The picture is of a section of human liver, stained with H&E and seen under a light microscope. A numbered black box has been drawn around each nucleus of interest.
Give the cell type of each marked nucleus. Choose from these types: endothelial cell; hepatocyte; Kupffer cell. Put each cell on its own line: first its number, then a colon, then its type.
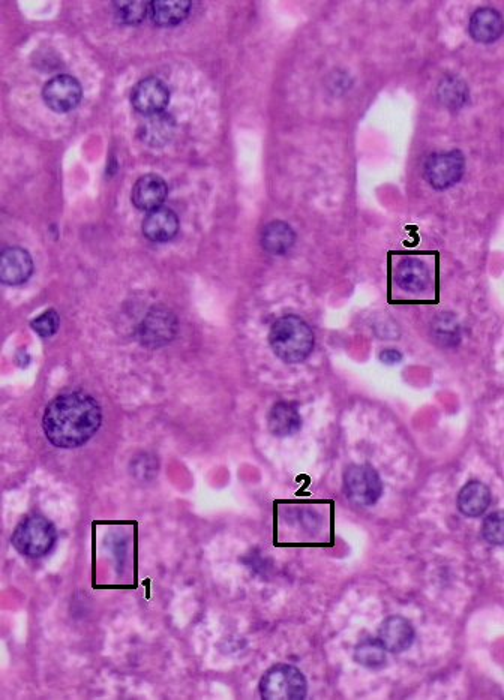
1: endothelial cell
2: Kupffer cell
3: hepatocyte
